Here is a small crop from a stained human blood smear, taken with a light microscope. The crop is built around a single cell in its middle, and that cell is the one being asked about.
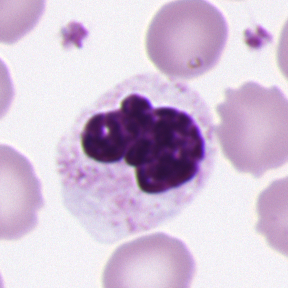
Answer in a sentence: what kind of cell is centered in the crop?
Centrally within this crop lies a neutrophil.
